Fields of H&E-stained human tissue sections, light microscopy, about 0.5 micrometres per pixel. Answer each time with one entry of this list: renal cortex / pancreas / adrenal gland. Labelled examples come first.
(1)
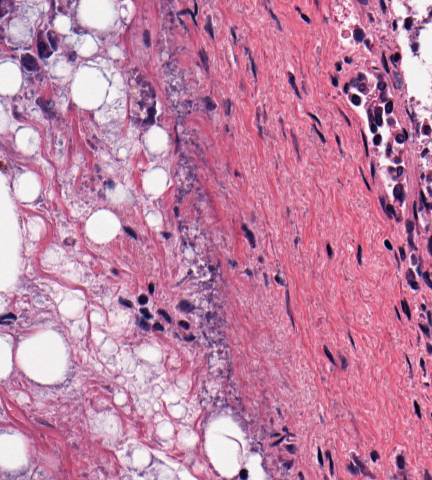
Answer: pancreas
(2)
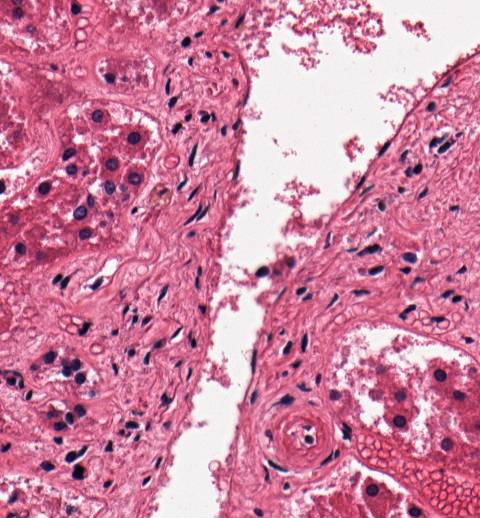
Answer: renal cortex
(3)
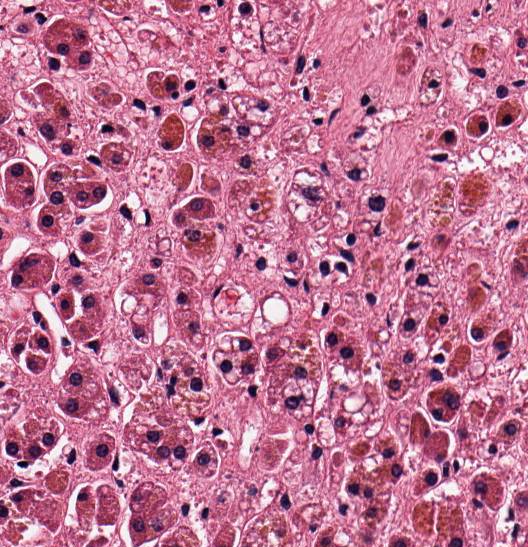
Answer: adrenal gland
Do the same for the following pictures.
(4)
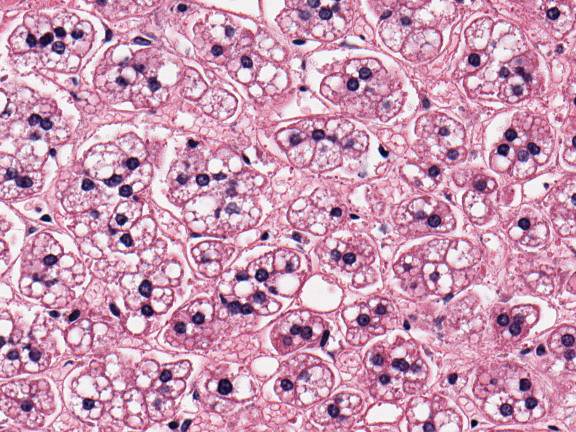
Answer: adrenal gland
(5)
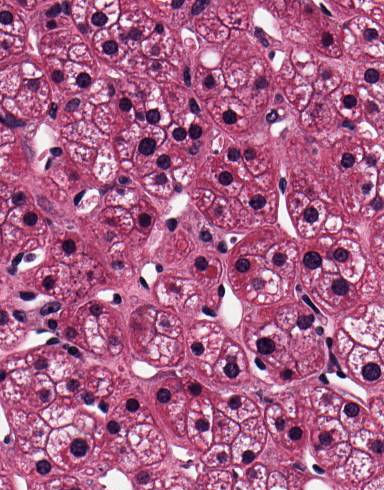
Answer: adrenal gland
